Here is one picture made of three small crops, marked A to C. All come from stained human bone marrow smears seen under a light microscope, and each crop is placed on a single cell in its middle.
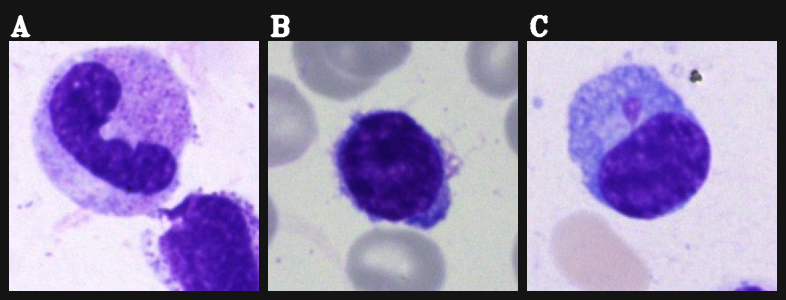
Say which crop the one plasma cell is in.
C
